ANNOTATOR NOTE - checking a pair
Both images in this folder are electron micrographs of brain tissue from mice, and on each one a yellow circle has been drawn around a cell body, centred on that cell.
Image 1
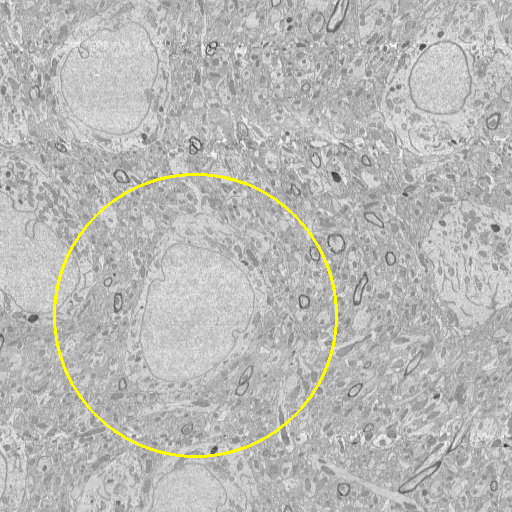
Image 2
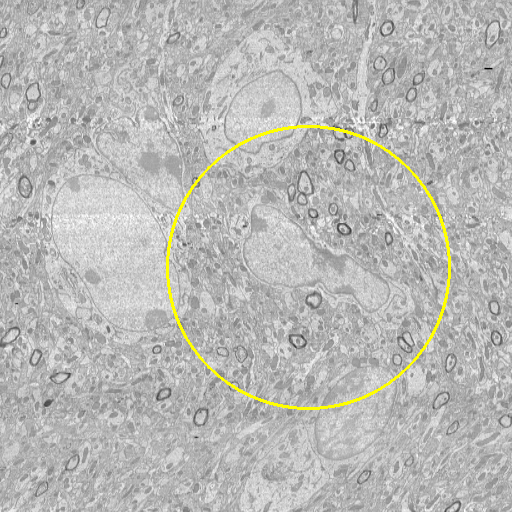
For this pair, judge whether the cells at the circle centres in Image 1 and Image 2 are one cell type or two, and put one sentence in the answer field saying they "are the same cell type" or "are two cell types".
For this pair, the cells at the circle centres in Images 1 and 2 are two cell types.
